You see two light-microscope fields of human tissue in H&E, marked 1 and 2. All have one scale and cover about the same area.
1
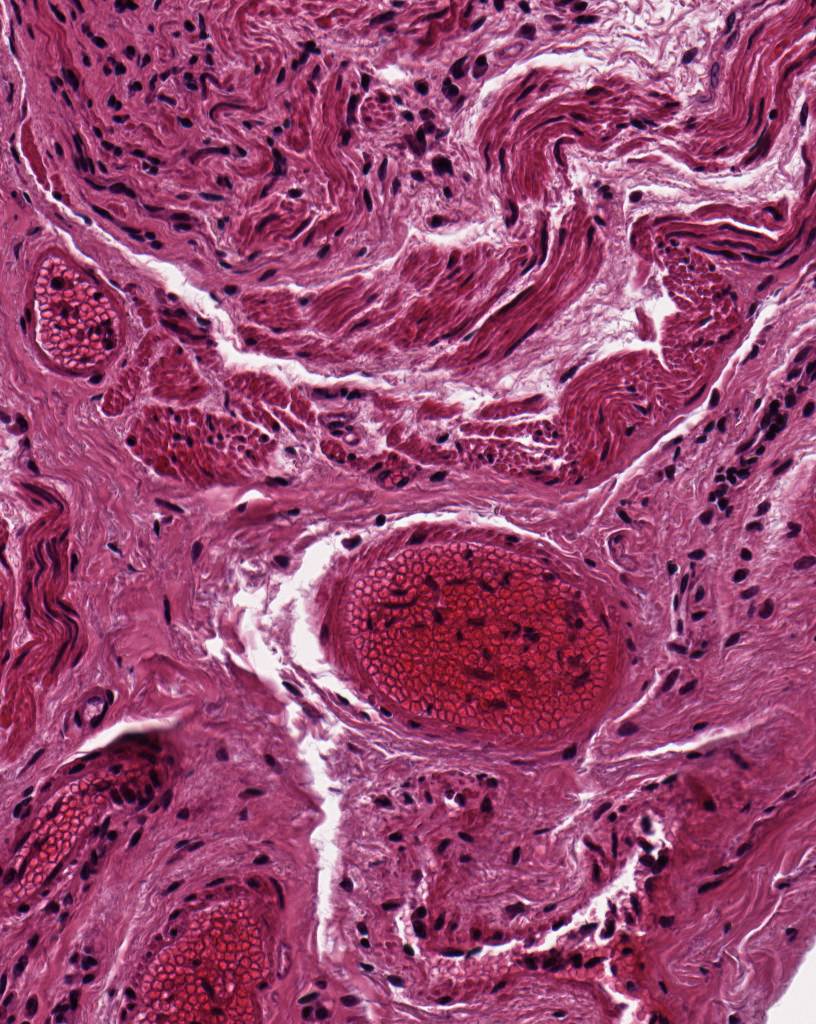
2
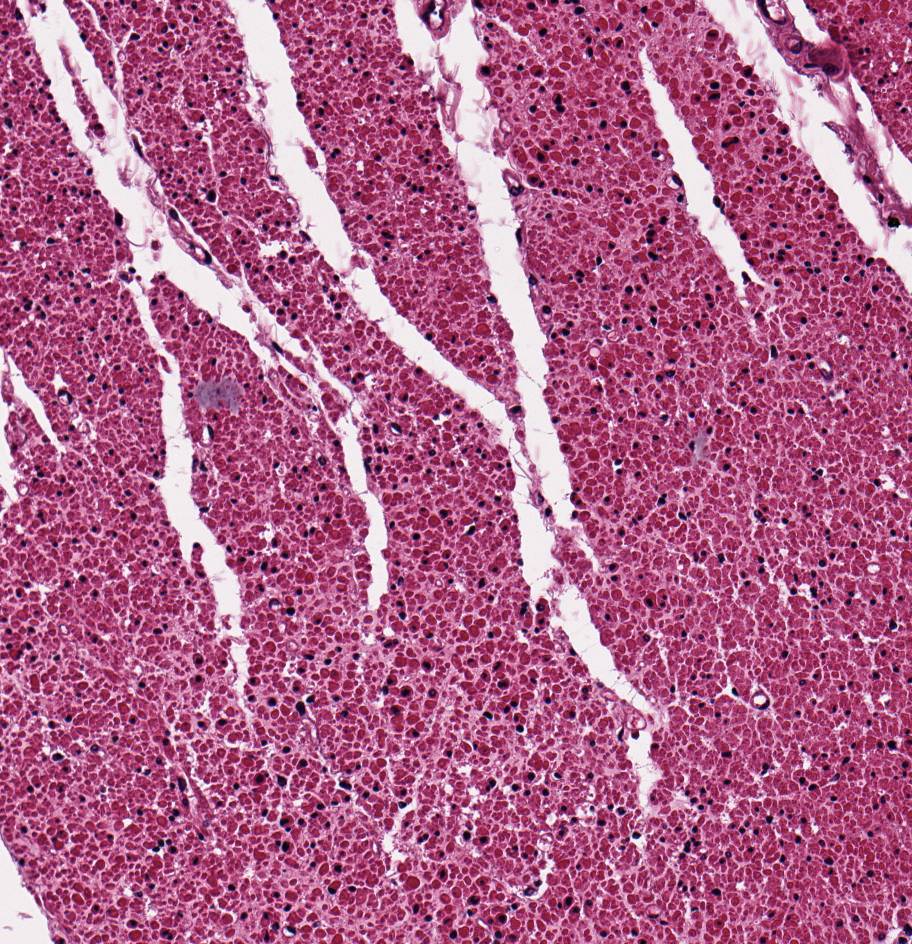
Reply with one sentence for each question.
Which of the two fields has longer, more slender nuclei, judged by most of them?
The nuclei are more elongated in picture 1.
